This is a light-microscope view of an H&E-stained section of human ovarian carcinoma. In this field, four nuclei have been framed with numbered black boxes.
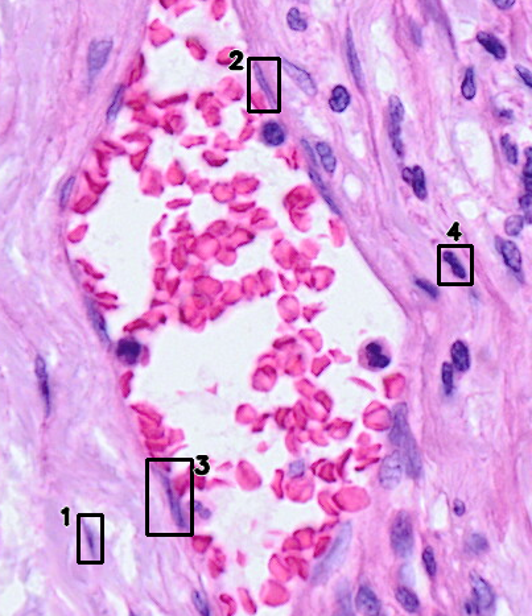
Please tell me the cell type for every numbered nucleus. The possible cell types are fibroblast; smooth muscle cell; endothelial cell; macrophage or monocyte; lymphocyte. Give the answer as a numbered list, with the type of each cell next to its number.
1. fibroblast
2. endothelial cell
3. endothelial cell
4. lymphocyte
